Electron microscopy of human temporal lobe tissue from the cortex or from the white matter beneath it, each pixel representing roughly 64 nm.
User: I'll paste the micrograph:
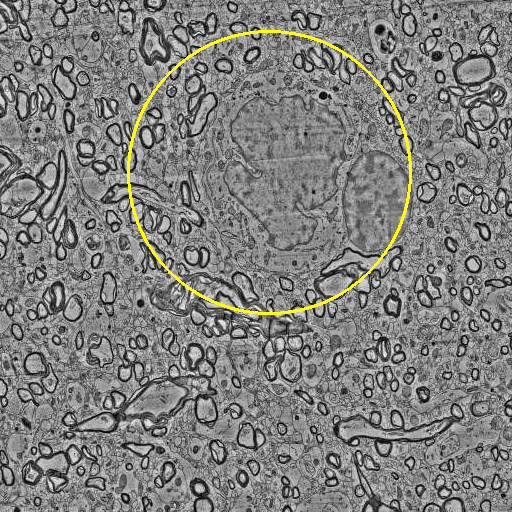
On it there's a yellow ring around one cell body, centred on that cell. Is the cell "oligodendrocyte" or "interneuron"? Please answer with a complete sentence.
The cell ringed in yellow is an interneuron.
